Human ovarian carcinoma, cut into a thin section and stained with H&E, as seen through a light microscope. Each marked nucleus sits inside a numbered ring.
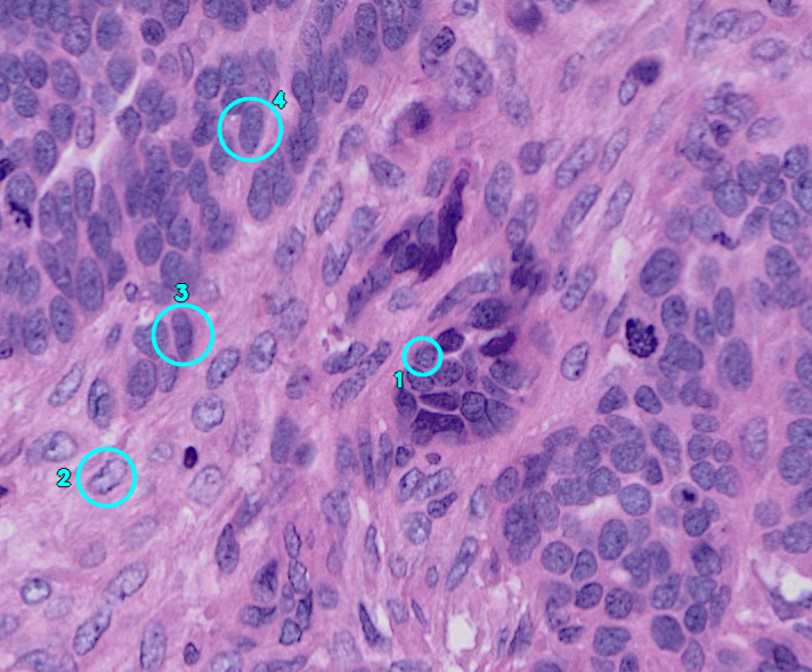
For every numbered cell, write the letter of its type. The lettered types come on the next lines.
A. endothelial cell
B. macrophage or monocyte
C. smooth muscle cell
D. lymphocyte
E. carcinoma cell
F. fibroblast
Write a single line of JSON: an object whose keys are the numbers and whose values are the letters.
{"1": "E", "2": "F", "3": "E", "4": "E"}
